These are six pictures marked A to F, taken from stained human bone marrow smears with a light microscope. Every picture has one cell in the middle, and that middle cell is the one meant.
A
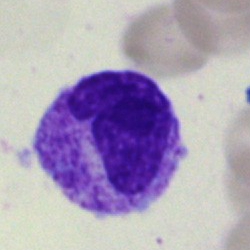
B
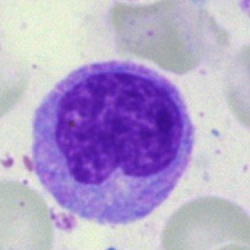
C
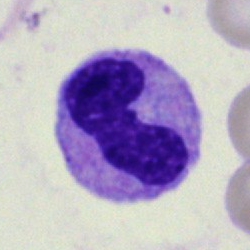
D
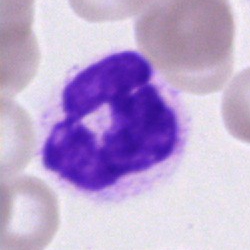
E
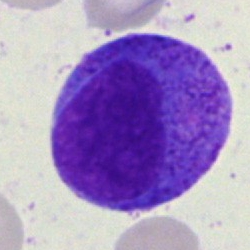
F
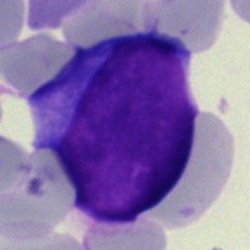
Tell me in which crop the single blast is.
F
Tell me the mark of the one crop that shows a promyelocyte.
E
